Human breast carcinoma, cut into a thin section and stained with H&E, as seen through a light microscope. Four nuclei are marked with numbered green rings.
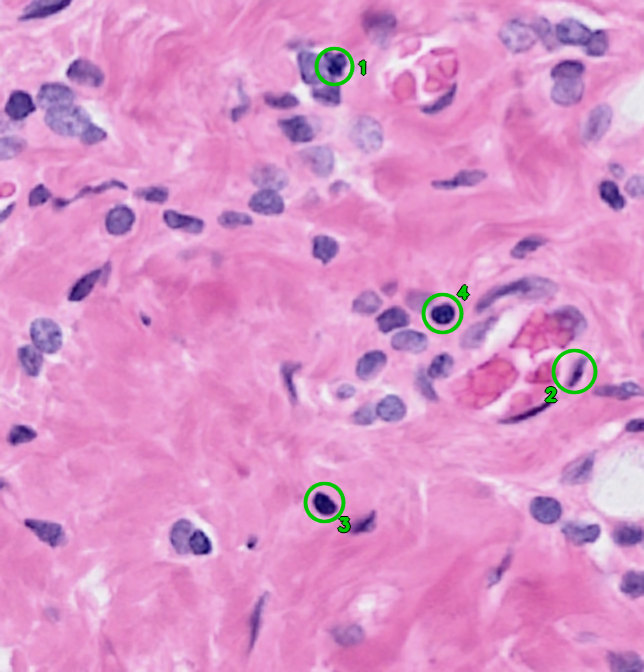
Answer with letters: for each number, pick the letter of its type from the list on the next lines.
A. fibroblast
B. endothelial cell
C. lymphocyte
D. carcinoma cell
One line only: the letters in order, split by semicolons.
C; B; C; C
